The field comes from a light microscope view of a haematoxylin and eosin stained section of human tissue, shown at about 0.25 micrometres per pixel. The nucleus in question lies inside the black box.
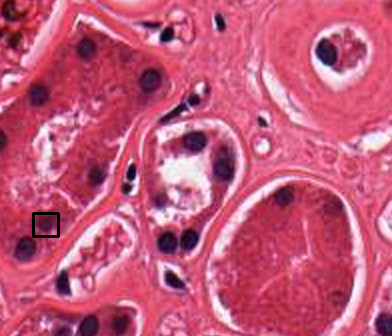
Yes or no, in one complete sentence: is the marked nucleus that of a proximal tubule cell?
Yes, to a proximal tubule cell belongs the marked nucleus.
